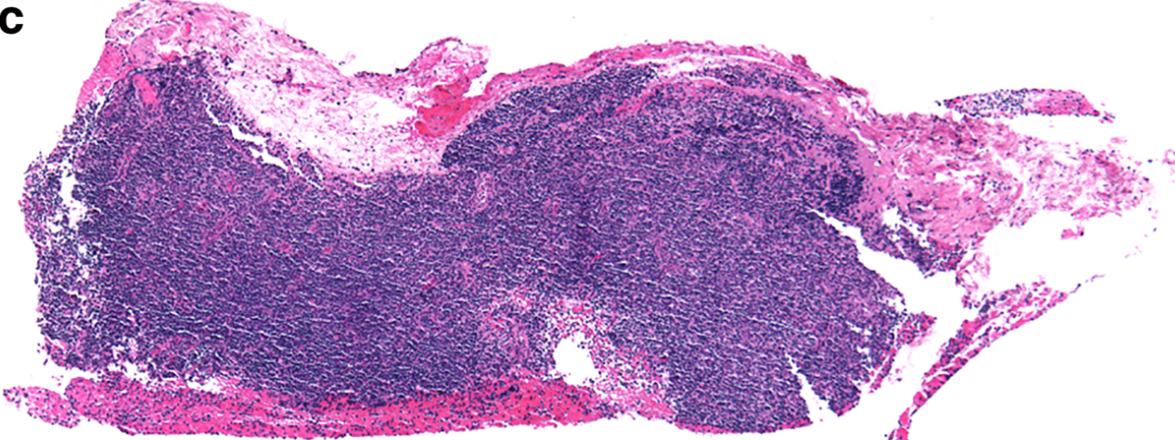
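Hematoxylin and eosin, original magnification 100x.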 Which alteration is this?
Dense subepithelial lymphocytic infiltrate.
